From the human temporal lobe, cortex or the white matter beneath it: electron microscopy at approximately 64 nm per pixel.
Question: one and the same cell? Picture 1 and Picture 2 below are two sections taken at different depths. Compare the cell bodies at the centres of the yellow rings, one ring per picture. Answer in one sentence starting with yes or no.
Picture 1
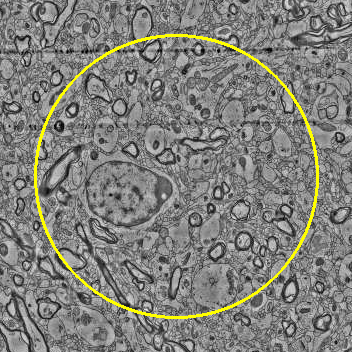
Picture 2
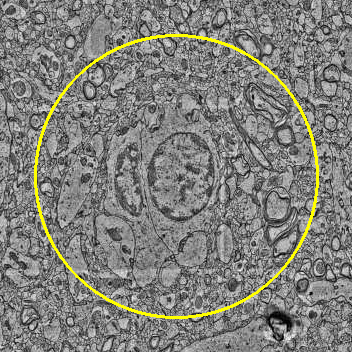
No, in this micrograph the two rings mark two different cells.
